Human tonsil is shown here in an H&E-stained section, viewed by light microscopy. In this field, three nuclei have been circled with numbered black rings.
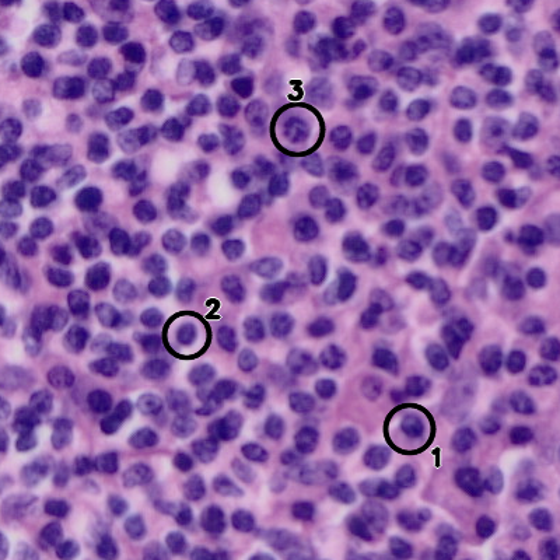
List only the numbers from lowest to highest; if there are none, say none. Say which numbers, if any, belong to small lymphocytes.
2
